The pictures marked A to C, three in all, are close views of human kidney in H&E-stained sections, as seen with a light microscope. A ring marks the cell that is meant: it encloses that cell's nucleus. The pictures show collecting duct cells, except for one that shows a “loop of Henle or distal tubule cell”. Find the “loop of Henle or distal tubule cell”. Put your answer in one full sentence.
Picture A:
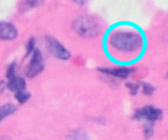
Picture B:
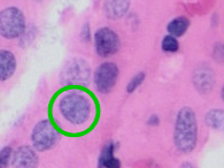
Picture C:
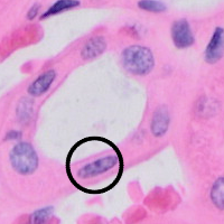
The “loop of Henle or distal tubule cell” is the one in picture A.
